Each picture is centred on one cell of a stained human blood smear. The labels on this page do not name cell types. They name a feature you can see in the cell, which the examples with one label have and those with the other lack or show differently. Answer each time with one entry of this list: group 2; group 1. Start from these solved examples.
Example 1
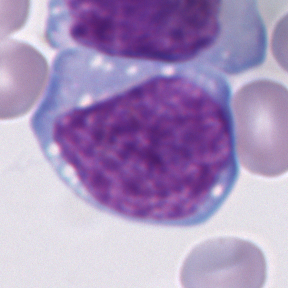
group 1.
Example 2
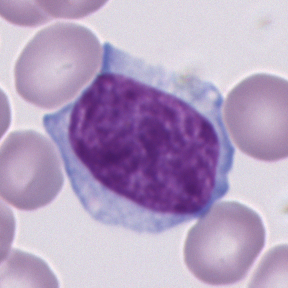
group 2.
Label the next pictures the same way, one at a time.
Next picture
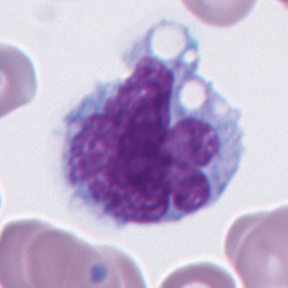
group 1.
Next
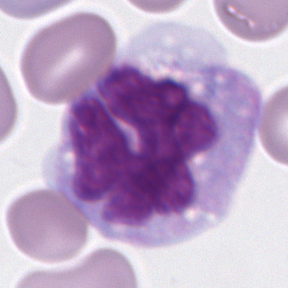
group 1.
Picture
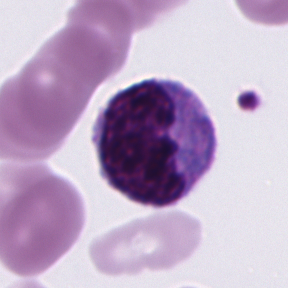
group 2.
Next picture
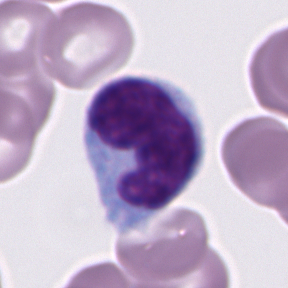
group 2.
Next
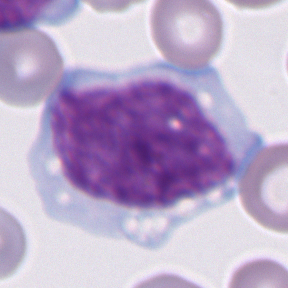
group 1.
